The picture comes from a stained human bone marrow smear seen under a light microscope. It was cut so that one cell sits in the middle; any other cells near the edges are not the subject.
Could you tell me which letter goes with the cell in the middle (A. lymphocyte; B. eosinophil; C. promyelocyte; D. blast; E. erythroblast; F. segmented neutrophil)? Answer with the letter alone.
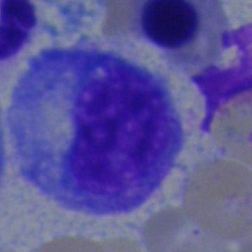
C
